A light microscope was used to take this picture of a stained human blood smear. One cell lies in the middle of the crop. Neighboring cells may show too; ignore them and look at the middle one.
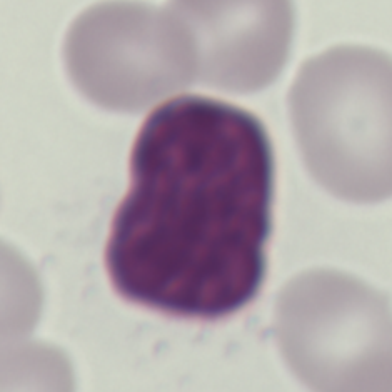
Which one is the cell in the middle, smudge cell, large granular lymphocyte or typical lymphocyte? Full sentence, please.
Here the centrally located cell is a smudge cell.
